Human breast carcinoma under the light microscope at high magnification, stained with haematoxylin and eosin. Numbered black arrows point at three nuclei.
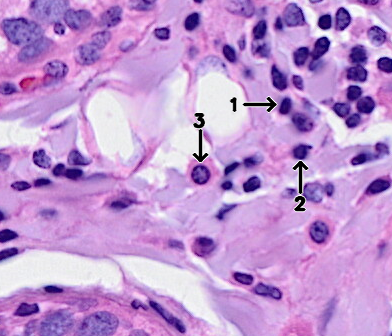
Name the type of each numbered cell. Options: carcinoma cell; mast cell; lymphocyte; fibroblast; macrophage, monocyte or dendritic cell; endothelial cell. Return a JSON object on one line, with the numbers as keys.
{"1": "lymphocyte", "2": "lymphocyte", "3": "mast cell"}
